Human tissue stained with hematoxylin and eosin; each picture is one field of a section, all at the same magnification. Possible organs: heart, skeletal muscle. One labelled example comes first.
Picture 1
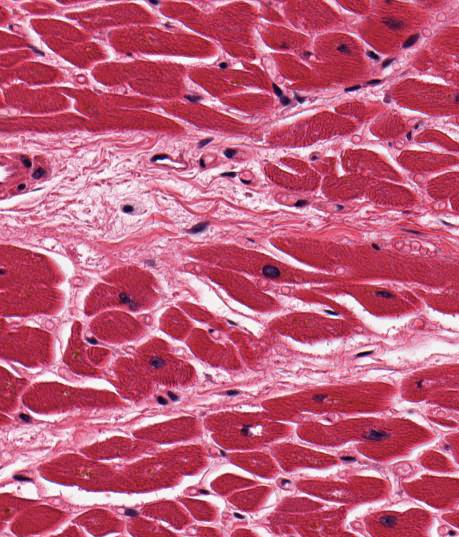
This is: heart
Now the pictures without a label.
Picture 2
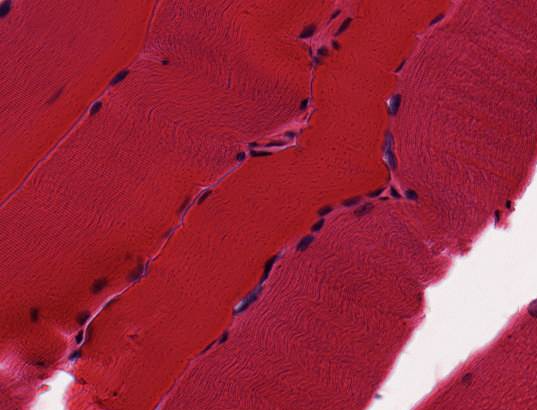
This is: skeletal muscle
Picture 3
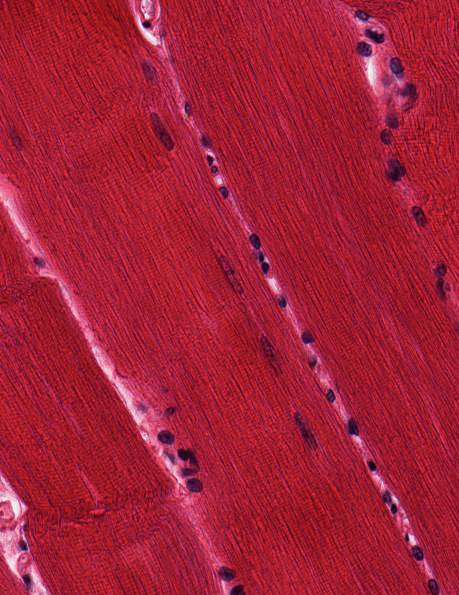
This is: skeletal muscle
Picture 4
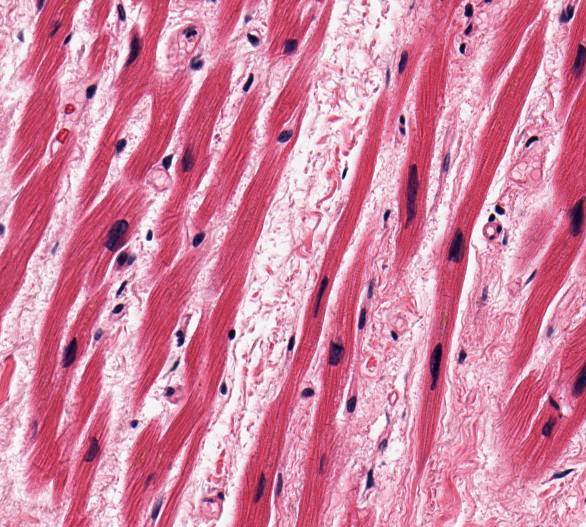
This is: heart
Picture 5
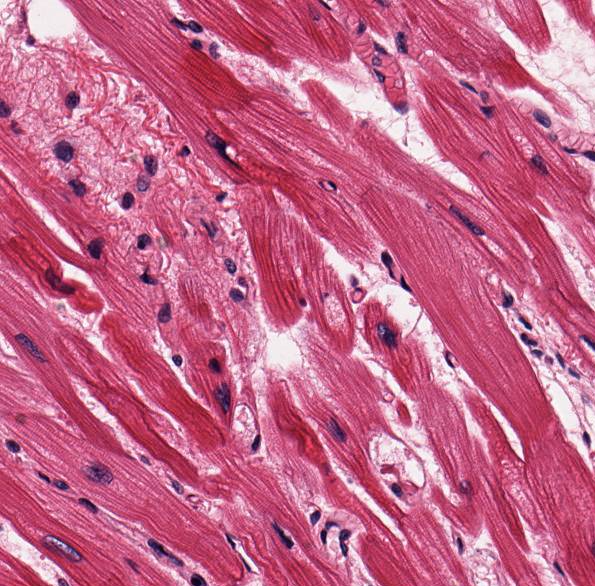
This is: heart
